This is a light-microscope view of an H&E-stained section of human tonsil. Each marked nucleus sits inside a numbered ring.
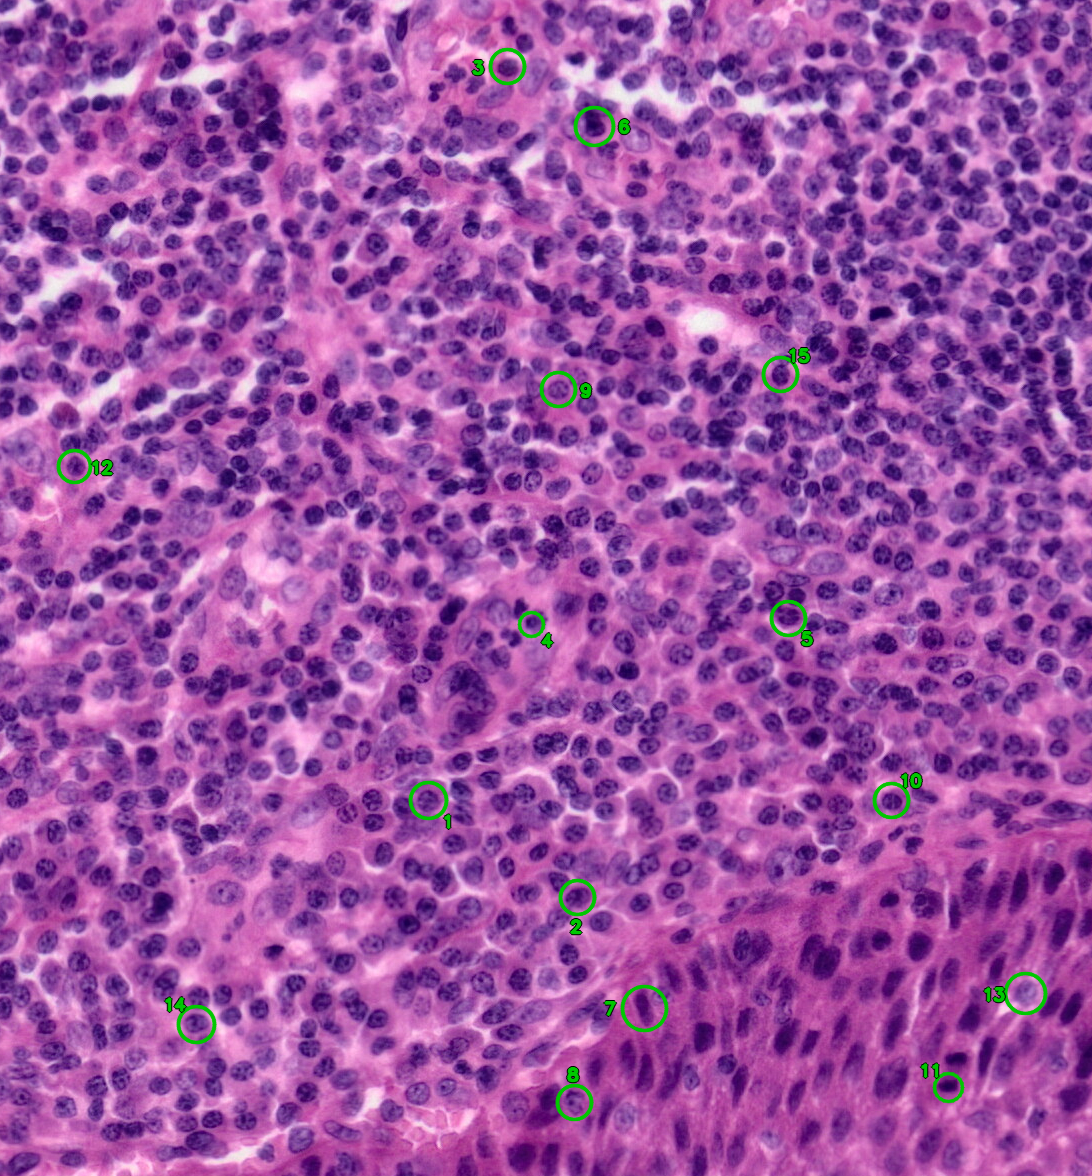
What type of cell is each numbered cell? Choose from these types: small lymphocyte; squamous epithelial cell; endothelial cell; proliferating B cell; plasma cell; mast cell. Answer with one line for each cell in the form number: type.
1: plasma cell
2: plasma cell
3: endothelial cell
4: endothelial cell
5: plasma cell
6: endothelial cell
7: squamous epithelial cell
8: squamous epithelial cell
9: plasma cell
10: plasma cell
11: squamous epithelial cell
12: endothelial cell
13: squamous epithelial cell
14: plasma cell
15: endothelial cell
